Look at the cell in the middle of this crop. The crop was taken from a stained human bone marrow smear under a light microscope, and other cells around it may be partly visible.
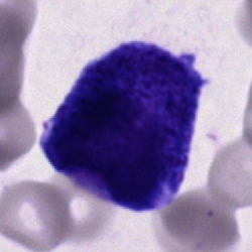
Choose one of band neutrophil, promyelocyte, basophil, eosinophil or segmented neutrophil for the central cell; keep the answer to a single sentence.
The identification for the central cell is a promyelocyte.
